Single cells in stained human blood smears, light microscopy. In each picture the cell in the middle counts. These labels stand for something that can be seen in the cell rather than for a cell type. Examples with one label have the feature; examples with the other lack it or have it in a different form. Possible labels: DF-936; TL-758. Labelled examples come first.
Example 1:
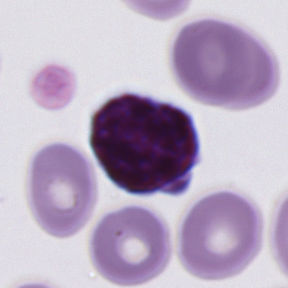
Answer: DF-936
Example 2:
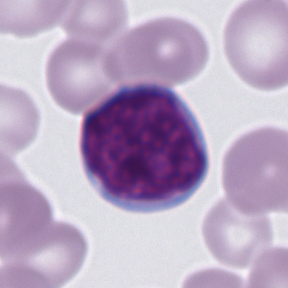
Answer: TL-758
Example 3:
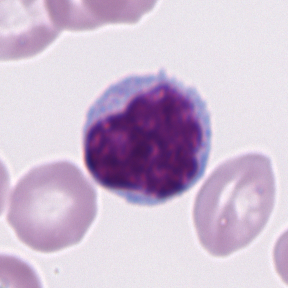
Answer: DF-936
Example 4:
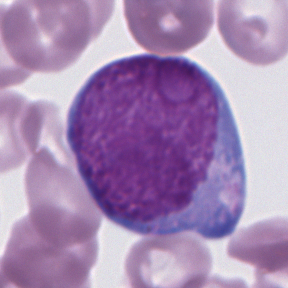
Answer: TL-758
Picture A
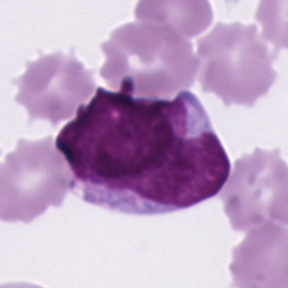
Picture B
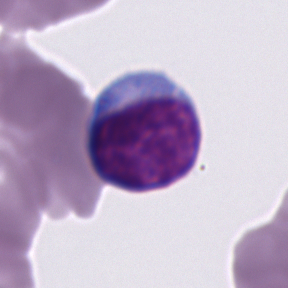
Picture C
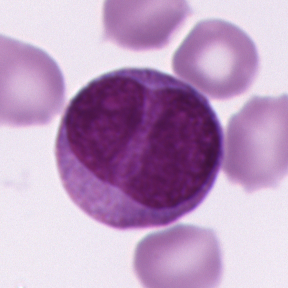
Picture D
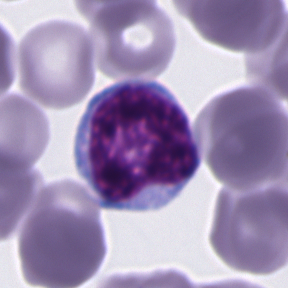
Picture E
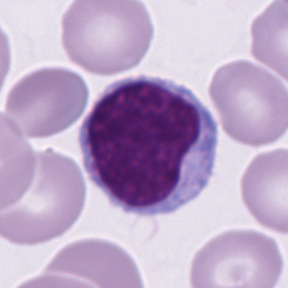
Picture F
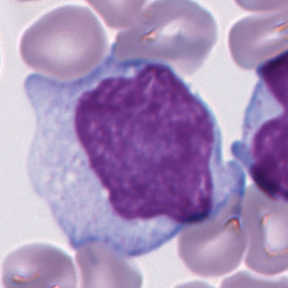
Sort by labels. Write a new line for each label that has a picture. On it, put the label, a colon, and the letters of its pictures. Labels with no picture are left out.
DF-936: A, E, F
TL-758: B, C, D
